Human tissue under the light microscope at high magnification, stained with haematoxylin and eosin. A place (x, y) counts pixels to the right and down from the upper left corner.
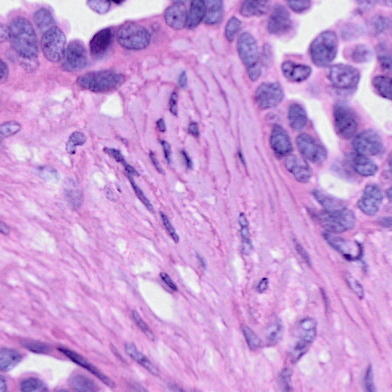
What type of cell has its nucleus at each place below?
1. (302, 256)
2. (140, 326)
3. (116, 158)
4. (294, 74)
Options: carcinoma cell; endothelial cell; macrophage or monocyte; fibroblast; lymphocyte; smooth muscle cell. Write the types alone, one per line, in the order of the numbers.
fibroblast
fibroblast
fibroblast
macrophage or monocyte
